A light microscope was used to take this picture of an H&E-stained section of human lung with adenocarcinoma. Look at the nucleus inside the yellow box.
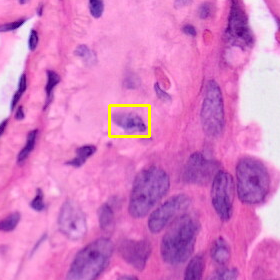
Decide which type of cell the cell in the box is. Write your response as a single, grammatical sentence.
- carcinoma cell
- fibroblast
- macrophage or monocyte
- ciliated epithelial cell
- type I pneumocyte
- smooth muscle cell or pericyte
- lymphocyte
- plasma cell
Within the stained tissue, the cell in the box is a fibroblast.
